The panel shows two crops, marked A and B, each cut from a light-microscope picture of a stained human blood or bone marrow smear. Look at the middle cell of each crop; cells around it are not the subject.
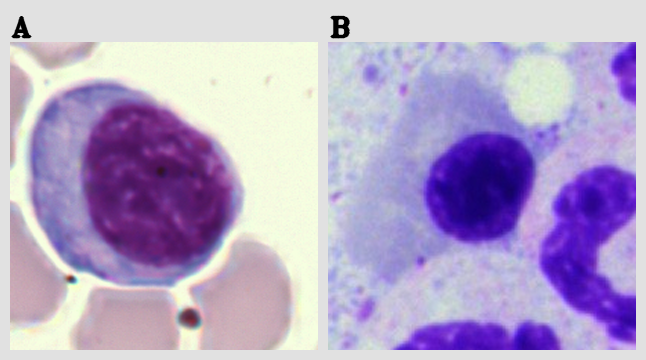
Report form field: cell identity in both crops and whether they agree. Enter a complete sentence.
No, the cell centred in crop A is a plasma cell, and that centred in crop B is an erythroblast.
